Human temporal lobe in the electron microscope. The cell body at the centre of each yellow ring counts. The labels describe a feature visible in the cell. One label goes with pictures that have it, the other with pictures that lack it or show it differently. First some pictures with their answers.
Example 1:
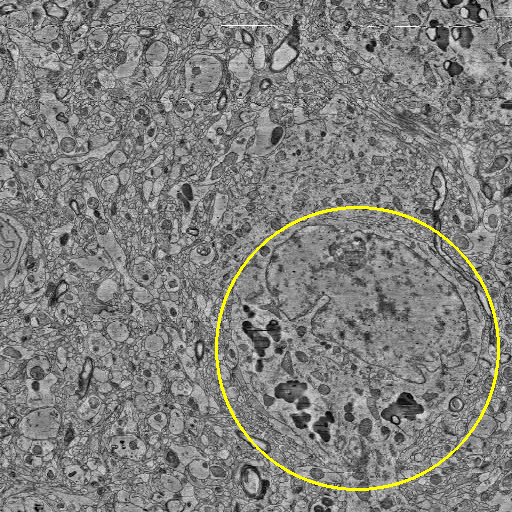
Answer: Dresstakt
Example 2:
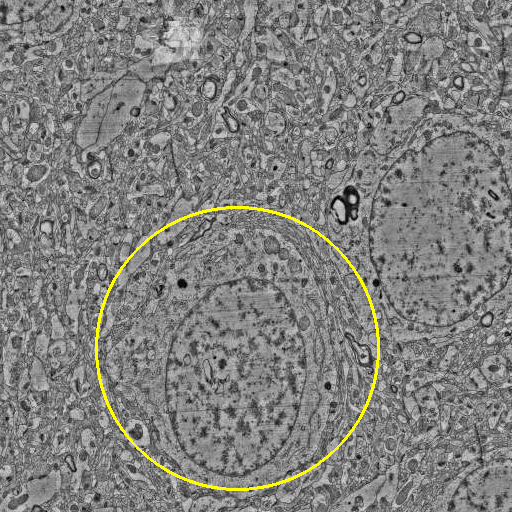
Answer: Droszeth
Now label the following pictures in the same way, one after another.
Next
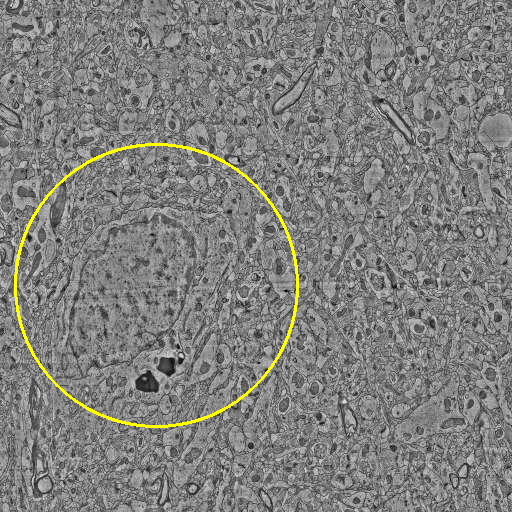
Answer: Droszeth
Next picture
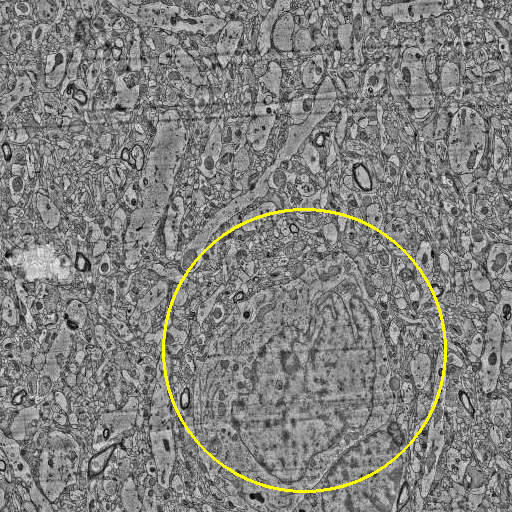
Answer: Dresstakt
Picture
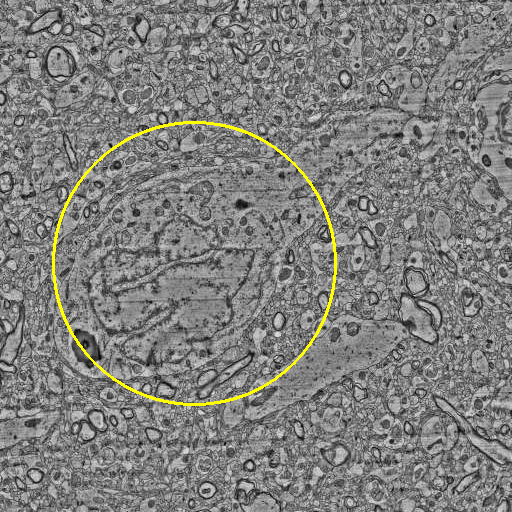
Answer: Dresstakt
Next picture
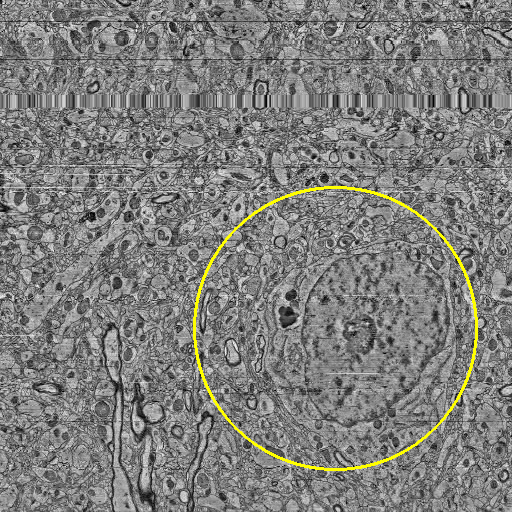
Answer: Droszeth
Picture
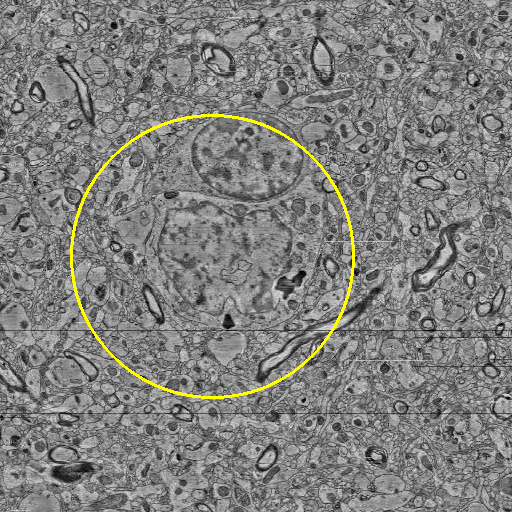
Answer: Dresstakt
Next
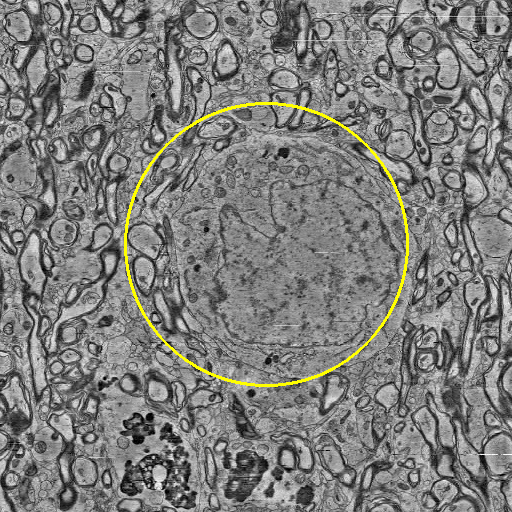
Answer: Dresstakt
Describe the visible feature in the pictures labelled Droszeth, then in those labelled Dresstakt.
Droszeth: smooth nuclear envelopes without deep folds; Dresstakt: deeply folded or indented nuclear envelopes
